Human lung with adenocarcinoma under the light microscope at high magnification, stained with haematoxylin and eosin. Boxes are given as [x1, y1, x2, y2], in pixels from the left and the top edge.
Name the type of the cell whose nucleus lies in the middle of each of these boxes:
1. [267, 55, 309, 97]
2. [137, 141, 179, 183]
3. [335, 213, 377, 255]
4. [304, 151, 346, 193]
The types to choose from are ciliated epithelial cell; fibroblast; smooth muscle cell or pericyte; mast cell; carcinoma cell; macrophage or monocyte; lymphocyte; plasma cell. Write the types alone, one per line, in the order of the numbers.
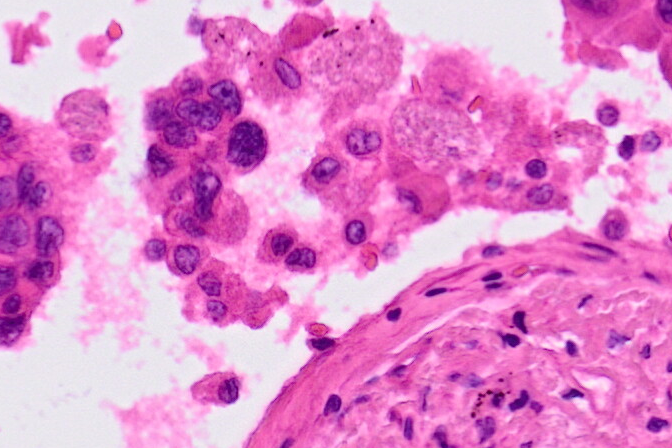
macrophage or monocyte
carcinoma cell
macrophage or monocyte
macrophage or monocyte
